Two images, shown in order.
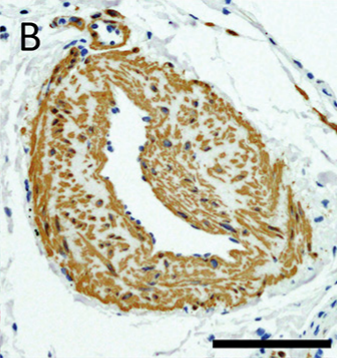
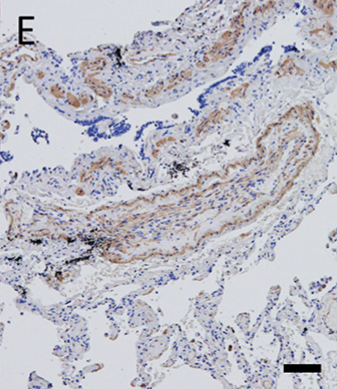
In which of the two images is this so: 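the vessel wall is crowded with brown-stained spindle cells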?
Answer: The first image.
